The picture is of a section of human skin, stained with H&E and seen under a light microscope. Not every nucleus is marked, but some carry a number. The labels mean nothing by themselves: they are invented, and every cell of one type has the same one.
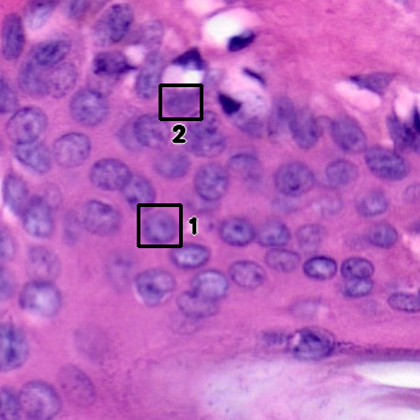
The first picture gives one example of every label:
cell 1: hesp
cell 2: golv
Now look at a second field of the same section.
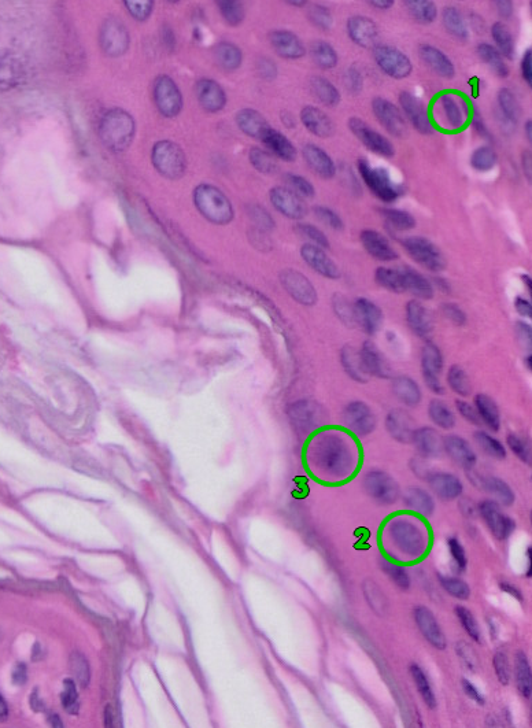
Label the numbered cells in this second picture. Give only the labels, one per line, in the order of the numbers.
golv
hesp
hesp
